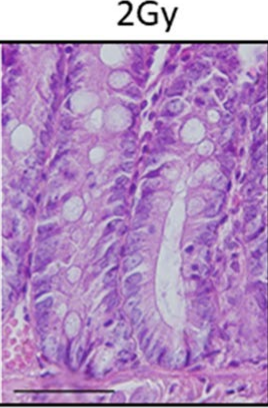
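The oval purple nuclei lie toward the base of the cells, with pink cytoplasm toward the lumen. Goblet cells with clear, rounded mucin vacuoles are scattered in the epithelium. Lamina propria with small cells lies between adjacent crypts.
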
